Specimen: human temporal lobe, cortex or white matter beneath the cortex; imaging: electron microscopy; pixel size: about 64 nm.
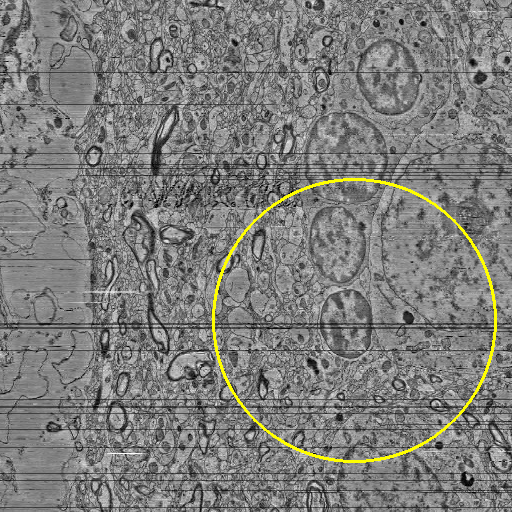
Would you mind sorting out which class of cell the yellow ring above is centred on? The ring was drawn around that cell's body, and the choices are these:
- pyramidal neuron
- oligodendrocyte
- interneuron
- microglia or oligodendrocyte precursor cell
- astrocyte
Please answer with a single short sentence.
This is the cell body of a microglial cell or oligodendrocyte precursor cell.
